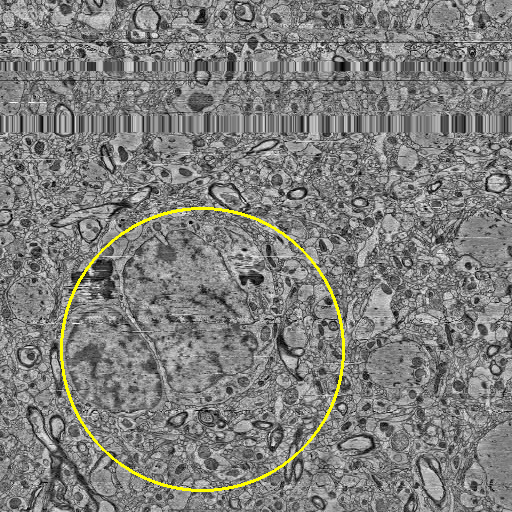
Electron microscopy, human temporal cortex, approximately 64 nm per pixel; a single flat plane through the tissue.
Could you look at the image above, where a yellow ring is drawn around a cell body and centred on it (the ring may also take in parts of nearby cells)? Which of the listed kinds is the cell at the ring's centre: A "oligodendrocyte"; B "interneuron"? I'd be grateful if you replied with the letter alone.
B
